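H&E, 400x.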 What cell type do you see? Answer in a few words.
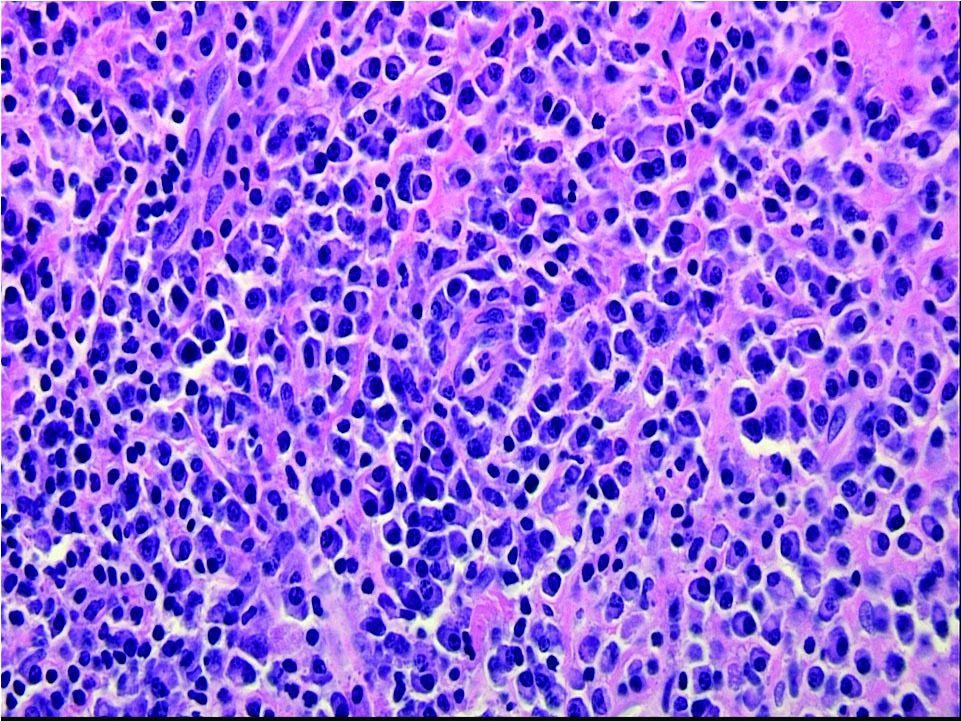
plasma cells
